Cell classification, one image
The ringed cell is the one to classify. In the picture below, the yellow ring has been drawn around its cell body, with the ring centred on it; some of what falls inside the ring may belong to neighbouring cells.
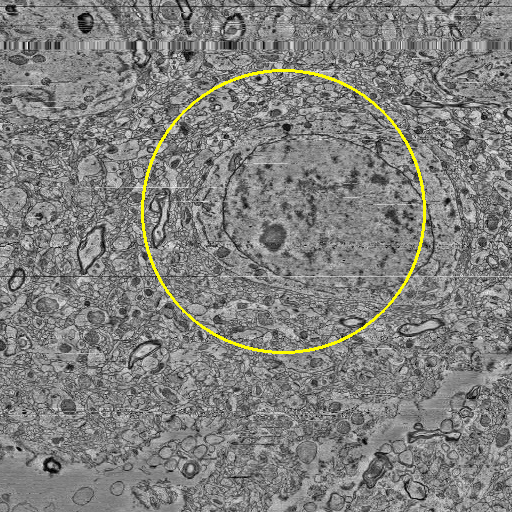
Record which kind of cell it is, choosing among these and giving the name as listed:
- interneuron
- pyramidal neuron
pyramidal neuron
